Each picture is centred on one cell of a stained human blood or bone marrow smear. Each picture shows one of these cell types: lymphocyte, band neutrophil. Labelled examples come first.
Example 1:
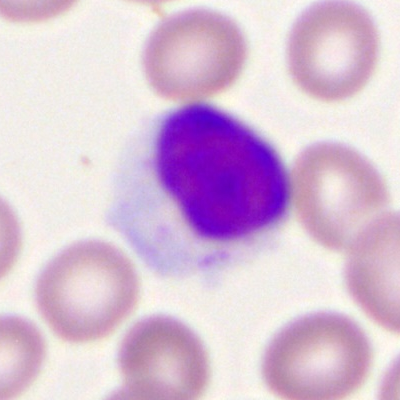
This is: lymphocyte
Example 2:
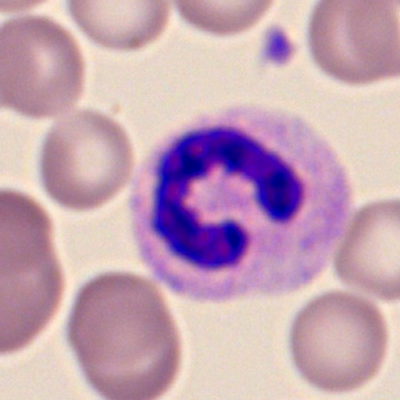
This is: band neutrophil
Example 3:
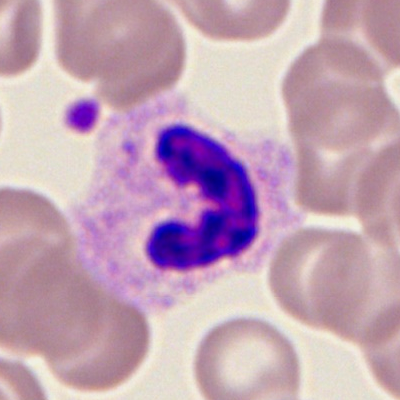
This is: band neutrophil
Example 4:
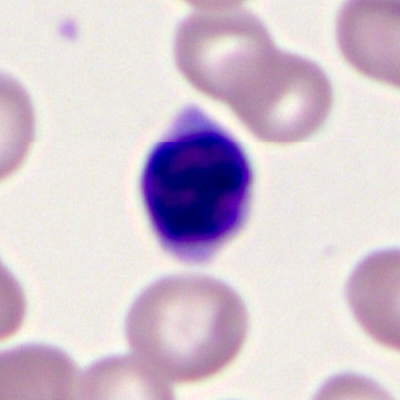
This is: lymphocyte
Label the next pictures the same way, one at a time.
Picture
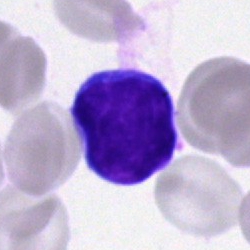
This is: lymphocyte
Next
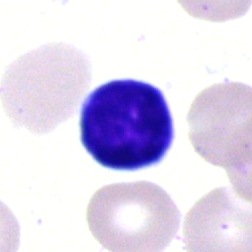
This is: lymphocyte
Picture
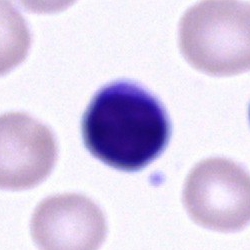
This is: lymphocyte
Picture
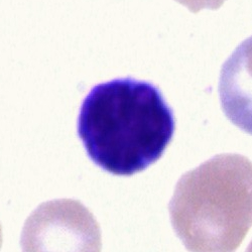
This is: lymphocyte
